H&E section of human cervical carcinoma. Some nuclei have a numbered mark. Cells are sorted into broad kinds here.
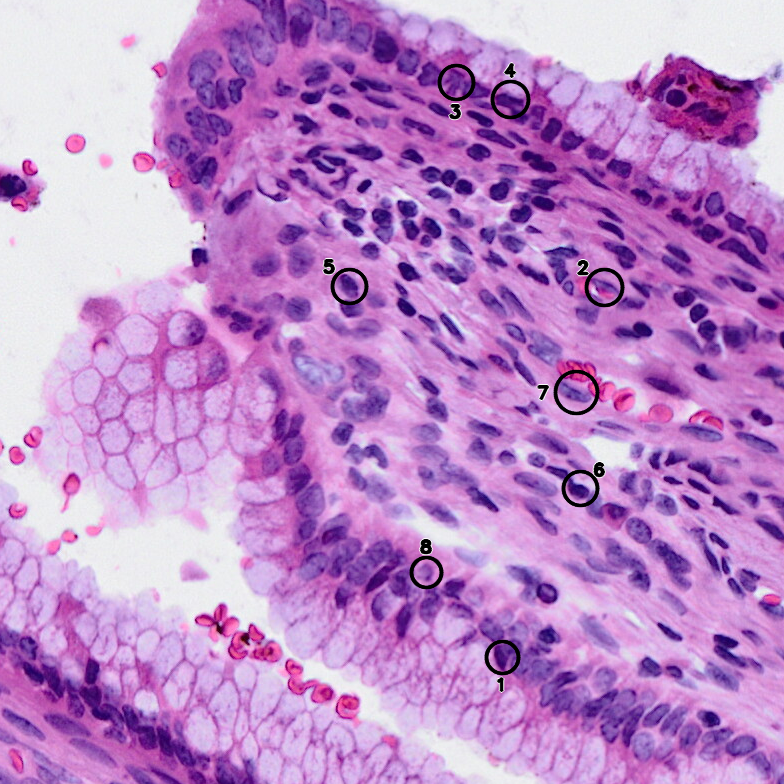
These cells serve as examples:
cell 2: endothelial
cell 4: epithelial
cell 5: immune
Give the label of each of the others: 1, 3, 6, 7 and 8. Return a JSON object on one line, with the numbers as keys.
{"1": "epithelial", "3": "epithelial", "6": "immune", "7": "endothelial", "8": "epithelial"}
